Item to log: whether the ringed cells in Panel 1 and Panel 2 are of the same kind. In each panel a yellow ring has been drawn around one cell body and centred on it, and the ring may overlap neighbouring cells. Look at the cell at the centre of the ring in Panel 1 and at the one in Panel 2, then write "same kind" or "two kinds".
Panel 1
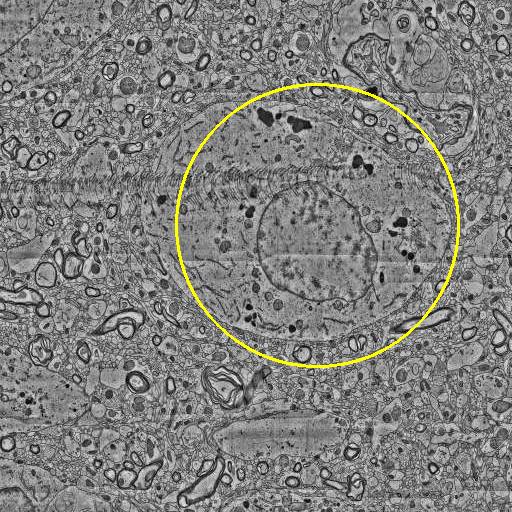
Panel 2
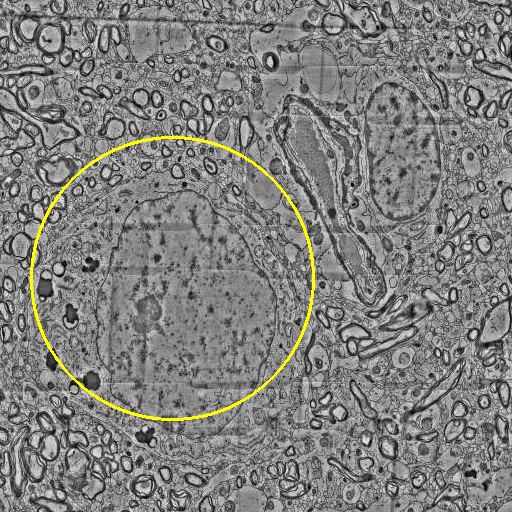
same kind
